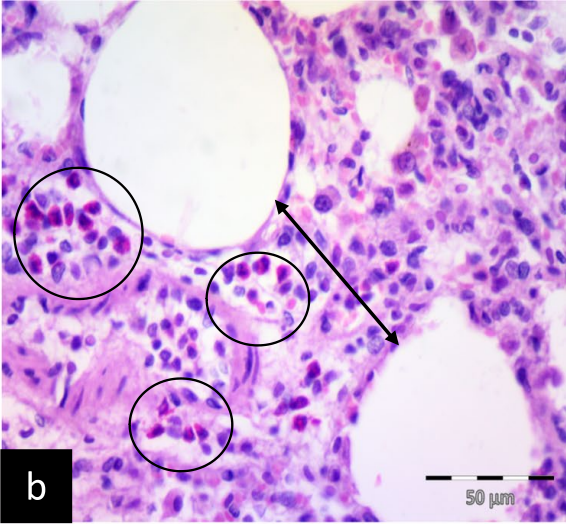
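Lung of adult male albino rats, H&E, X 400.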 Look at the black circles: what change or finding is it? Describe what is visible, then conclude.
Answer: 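Inflammatory cellular infiltration. The circles enclose clusters of small rounded cells with dark nuclei. Several of the encircled cells have bright red-pink cytoplasm.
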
